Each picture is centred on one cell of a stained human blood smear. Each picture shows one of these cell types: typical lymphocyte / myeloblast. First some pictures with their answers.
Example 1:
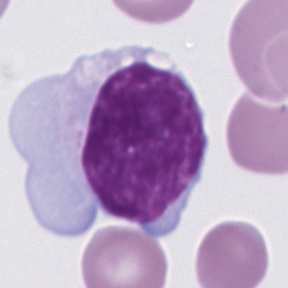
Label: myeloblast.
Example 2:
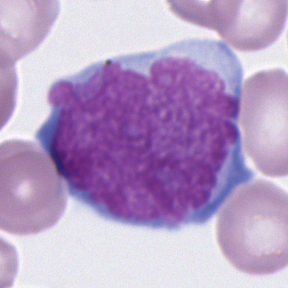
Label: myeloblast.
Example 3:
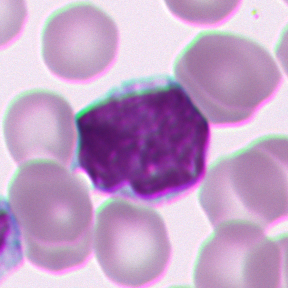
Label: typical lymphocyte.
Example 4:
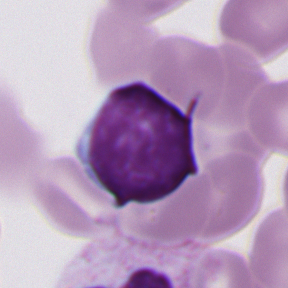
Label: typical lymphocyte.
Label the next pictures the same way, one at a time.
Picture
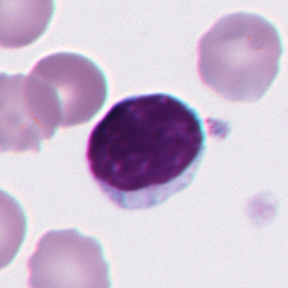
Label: typical lymphocyte.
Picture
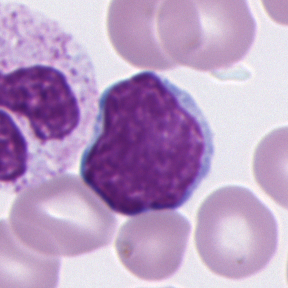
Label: typical lymphocyte.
